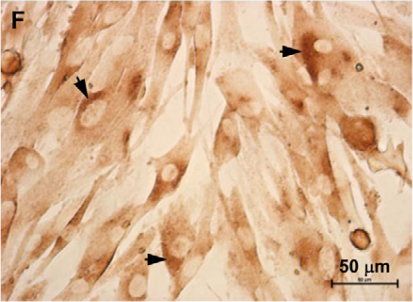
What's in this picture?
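In several cells the brown material is concentrated on one side of the nucleus, giving the cells a polarized look. A few small round refractile cells sit on top of the sheet.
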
